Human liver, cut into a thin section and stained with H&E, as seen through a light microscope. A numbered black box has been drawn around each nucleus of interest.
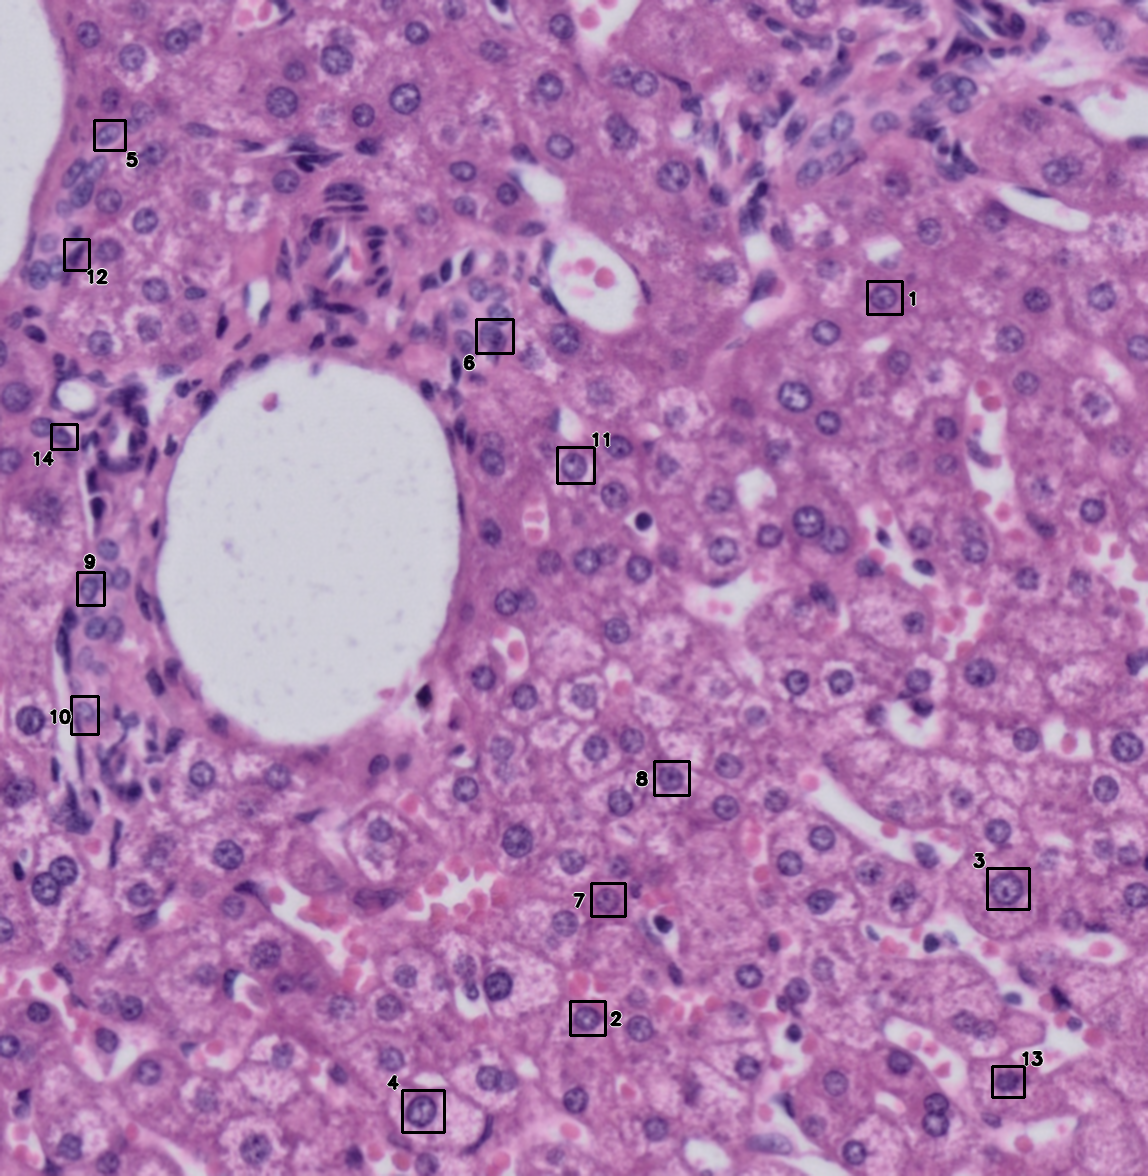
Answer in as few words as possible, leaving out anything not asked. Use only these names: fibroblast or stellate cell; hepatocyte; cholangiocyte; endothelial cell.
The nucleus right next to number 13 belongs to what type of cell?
endothelial cell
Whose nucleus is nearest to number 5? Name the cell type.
cholangiocyte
